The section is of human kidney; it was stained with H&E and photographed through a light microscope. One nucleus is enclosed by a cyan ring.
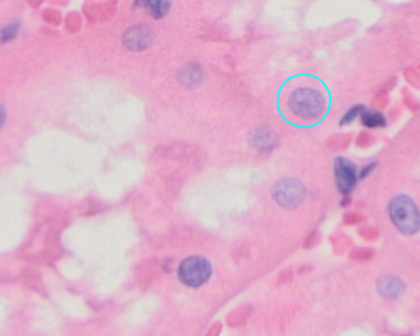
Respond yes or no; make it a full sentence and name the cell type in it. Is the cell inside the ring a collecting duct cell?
No, the cell inside the ring is a proximal tubule cell rather than a collecting duct cell in this section.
